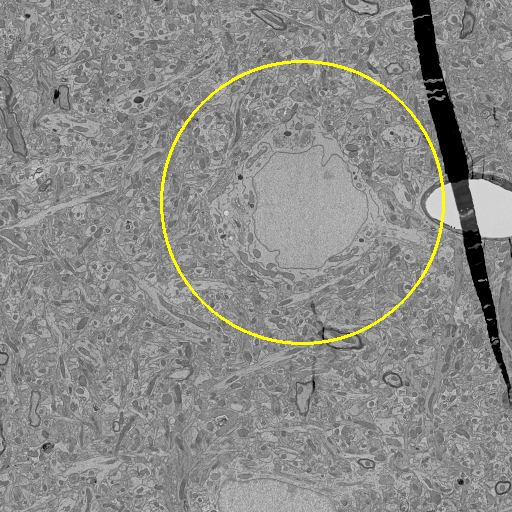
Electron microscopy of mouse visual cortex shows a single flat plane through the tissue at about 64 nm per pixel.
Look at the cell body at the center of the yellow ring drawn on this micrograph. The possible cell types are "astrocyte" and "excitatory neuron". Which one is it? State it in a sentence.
The cell in the middle of the ring is an excitatory neuron.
